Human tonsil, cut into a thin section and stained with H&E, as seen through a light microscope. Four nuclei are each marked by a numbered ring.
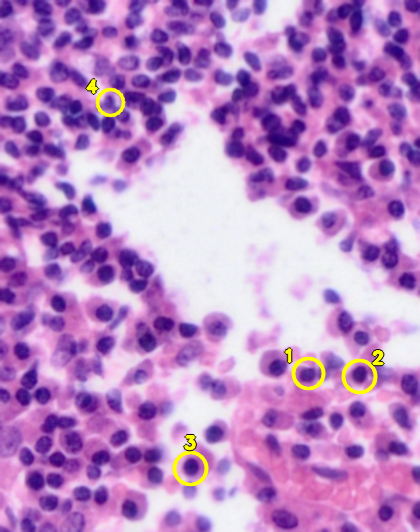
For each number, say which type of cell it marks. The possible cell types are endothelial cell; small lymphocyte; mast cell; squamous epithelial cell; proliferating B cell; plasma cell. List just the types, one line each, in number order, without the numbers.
plasma cell
plasma cell
plasma cell
small lymphocyte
